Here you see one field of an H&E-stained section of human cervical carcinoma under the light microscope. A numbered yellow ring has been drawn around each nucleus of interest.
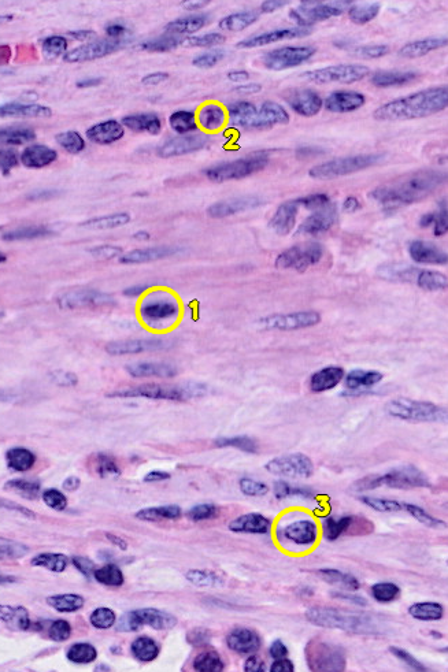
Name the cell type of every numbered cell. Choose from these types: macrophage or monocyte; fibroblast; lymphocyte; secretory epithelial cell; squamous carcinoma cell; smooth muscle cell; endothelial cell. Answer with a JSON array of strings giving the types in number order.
["lymphocyte", "endothelial cell", "lymphocyte"]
